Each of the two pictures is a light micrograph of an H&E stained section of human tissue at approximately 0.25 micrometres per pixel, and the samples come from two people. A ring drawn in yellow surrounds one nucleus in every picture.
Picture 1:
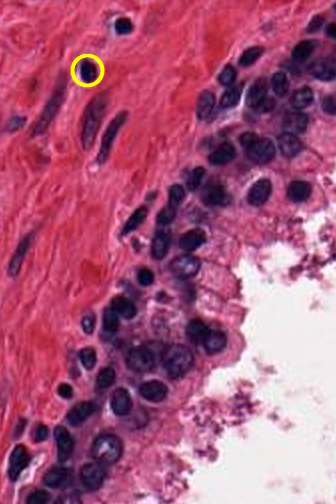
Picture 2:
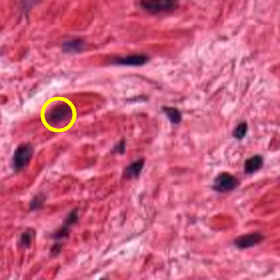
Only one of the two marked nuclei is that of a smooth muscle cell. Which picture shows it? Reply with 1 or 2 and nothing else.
2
